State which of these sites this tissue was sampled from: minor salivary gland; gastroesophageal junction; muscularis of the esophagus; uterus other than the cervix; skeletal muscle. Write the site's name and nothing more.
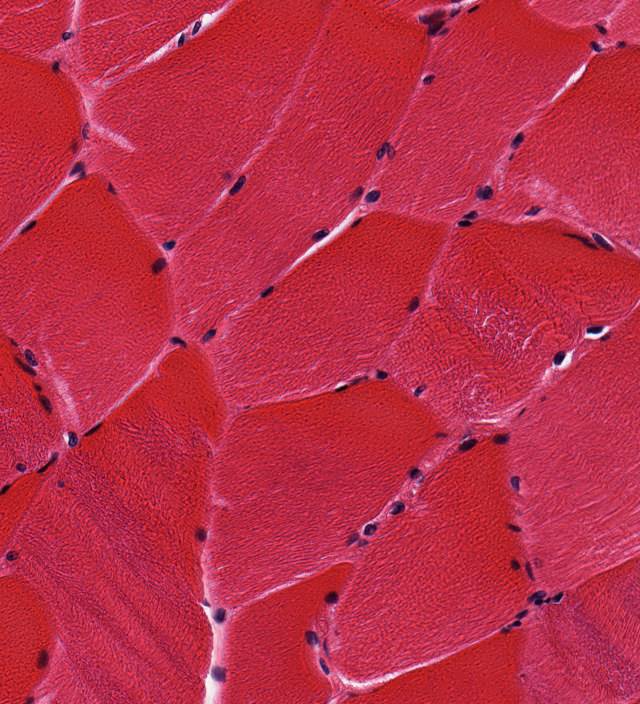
skeletal muscle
